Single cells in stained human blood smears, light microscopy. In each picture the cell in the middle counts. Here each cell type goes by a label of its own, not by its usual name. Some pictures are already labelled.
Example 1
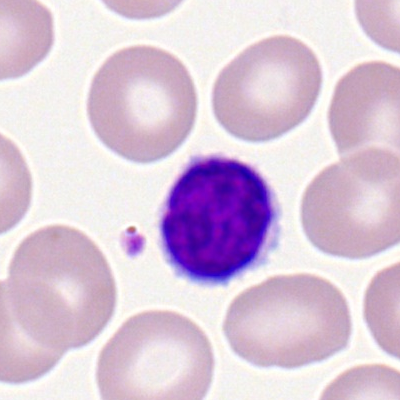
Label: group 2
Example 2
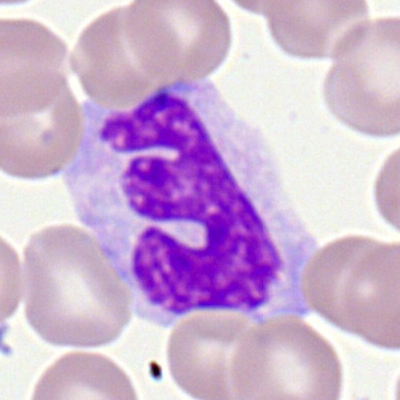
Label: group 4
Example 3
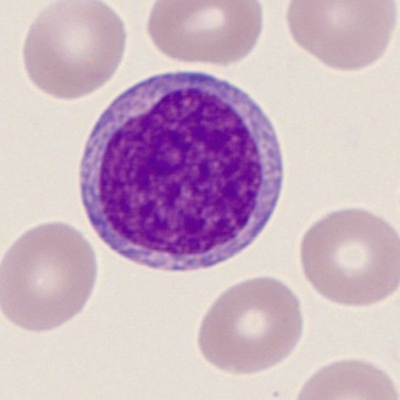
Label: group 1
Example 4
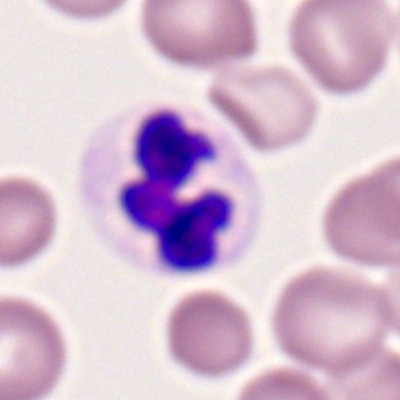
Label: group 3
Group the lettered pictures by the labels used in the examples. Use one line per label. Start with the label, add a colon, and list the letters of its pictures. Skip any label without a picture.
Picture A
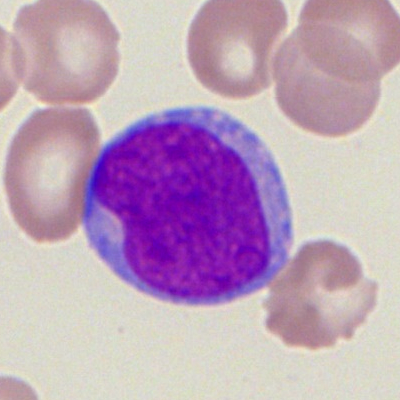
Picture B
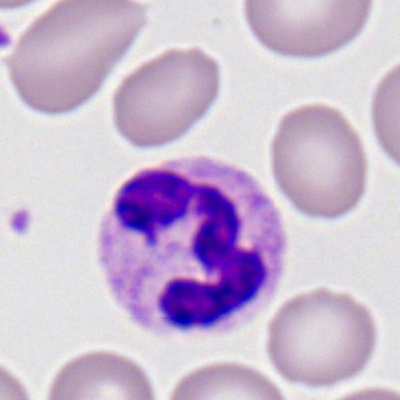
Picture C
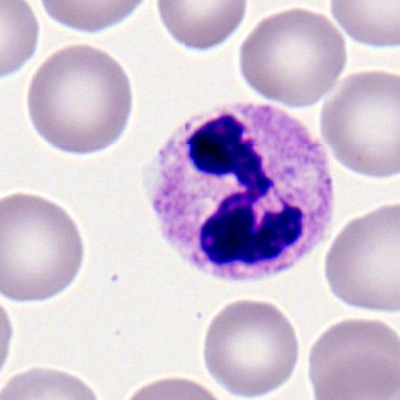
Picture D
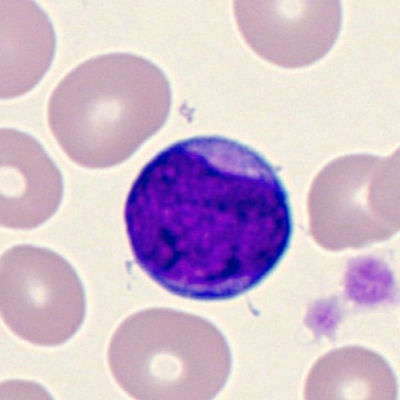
group 1: A, D
group 3: B, C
